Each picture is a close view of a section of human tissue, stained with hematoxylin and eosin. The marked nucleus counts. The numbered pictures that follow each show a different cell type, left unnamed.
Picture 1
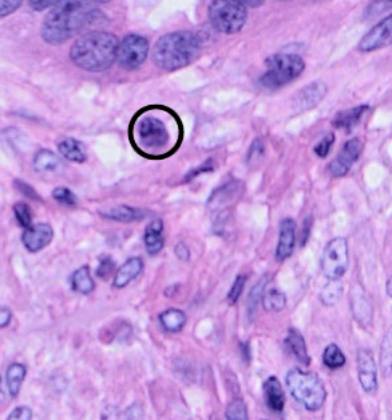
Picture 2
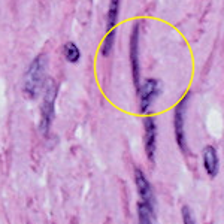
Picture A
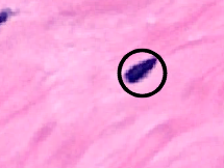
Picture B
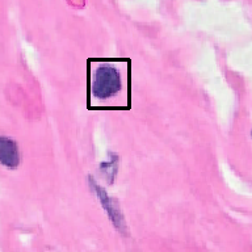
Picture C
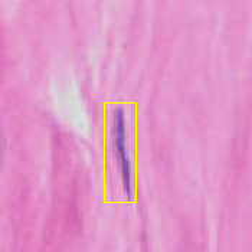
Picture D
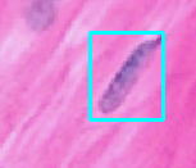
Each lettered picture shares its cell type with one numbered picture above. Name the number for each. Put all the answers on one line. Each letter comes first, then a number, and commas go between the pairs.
A 1, B 1, C 2, D 2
